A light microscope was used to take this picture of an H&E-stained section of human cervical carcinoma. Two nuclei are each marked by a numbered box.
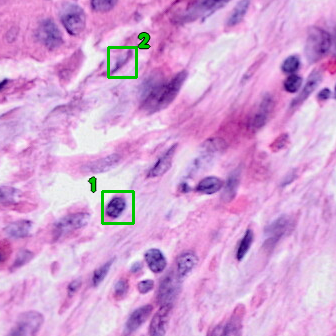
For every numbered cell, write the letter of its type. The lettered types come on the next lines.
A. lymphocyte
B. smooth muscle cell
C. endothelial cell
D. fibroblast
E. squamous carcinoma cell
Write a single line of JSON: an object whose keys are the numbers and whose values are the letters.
{"1": "A", "2": "D"}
